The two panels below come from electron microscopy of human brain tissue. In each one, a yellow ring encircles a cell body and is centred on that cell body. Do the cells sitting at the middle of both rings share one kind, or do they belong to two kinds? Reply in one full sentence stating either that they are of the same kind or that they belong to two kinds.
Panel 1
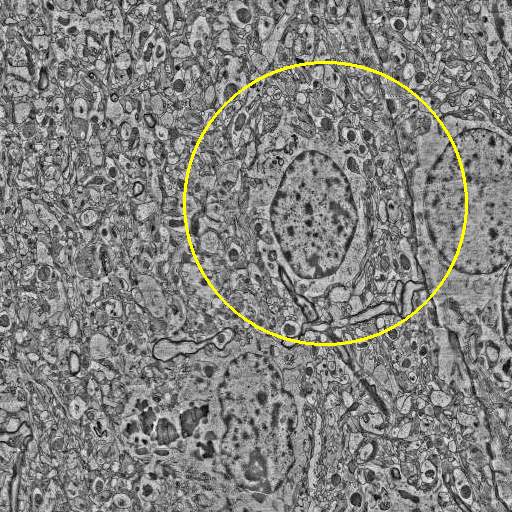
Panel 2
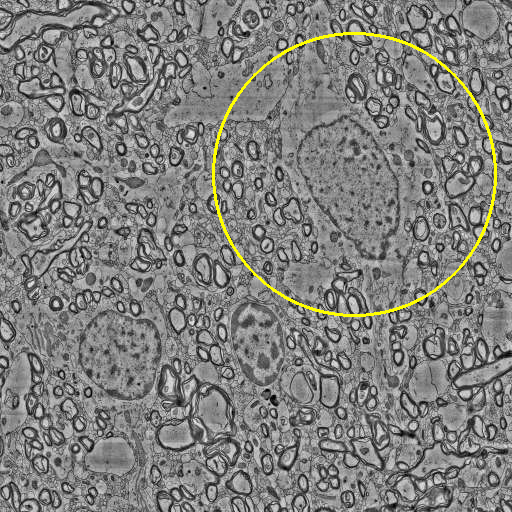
The cells at the centres of the two rings are of the same kind.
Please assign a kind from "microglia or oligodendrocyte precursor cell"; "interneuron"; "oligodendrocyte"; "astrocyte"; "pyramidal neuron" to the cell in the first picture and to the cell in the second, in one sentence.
The cell in the first picture is an astrocyte, and so is the one in the second.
